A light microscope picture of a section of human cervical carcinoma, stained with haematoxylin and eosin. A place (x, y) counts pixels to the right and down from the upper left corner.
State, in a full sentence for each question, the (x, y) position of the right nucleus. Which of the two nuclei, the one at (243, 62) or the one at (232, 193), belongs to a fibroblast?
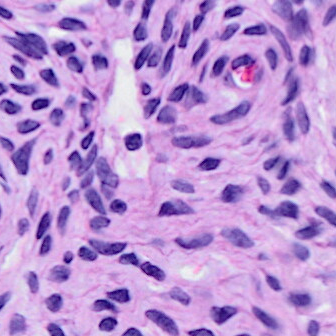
Out of the two, it is the nucleus at (232, 193) that belongs to a fibroblast.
